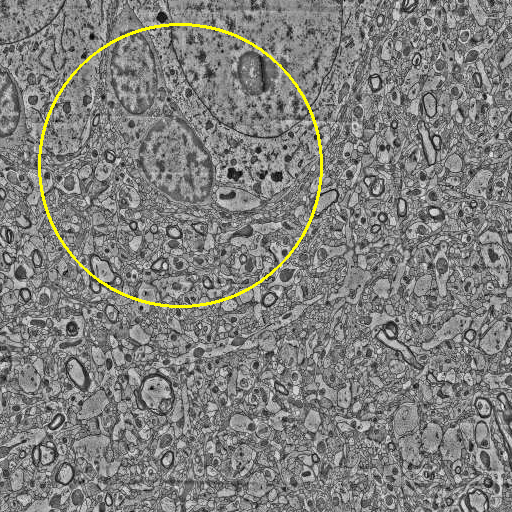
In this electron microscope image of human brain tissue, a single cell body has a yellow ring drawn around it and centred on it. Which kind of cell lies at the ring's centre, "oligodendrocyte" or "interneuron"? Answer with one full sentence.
It is an oligodendrocyte whose cell body lies at the centre of the yellow ring here.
